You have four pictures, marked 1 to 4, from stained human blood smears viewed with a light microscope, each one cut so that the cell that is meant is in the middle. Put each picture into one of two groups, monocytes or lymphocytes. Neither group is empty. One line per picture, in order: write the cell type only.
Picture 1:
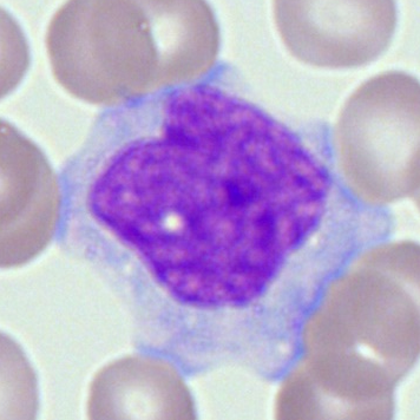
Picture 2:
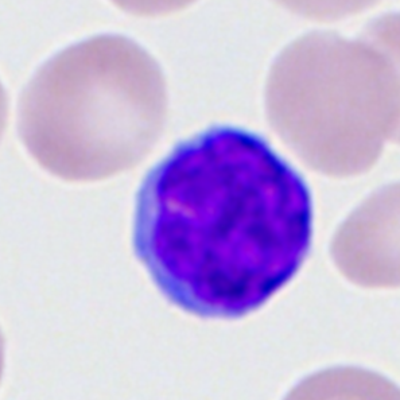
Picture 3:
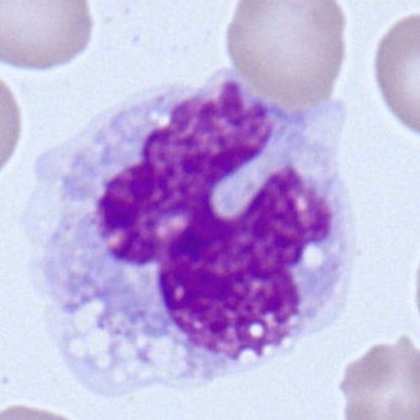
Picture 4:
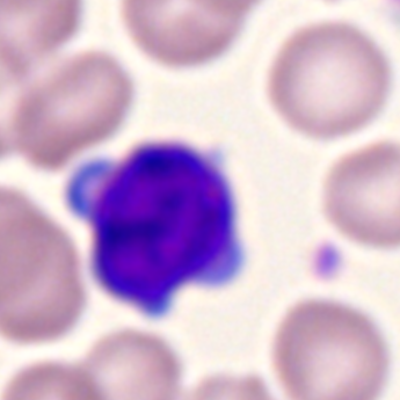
monocyte
lymphocyte
monocyte
lymphocyte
